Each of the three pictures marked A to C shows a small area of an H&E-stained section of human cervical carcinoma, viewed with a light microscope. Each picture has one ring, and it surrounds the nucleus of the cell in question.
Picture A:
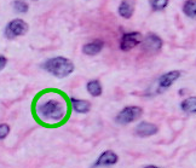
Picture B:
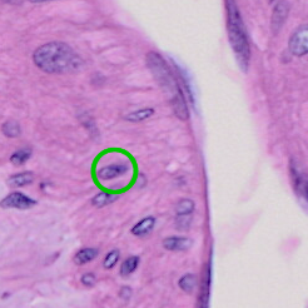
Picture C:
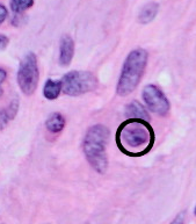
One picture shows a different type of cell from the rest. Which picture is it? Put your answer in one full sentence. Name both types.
Picture C differs, because its cell is an endothelial cell and the rest are smooth muscle cells.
